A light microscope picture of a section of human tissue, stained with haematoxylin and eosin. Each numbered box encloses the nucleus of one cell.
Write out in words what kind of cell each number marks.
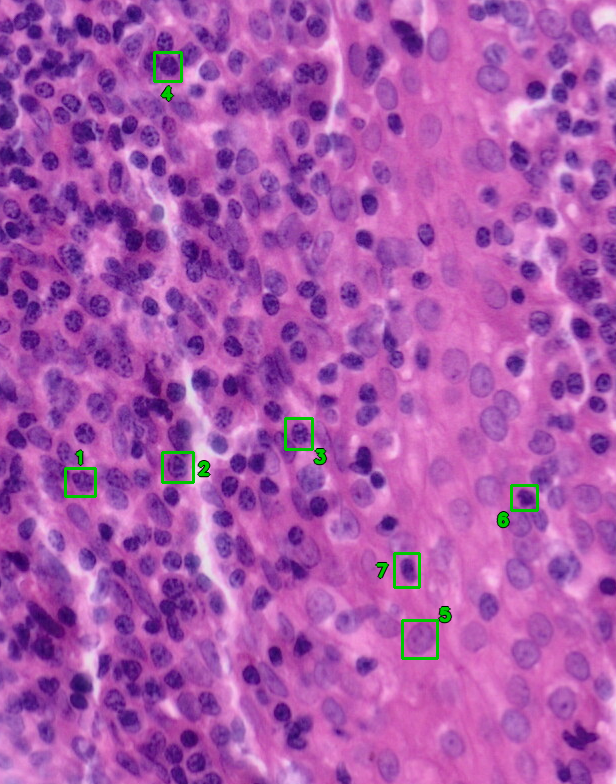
Cell 1 is a plasma cell, cell 2 is a plasma cell, cell 3 is a plasma cell, cell 4 is a plasma cell, cell 5 is a squamous epithelial cell, cell 6 is a squamous epithelial cell and cell 7 is a squamous epithelial cell.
